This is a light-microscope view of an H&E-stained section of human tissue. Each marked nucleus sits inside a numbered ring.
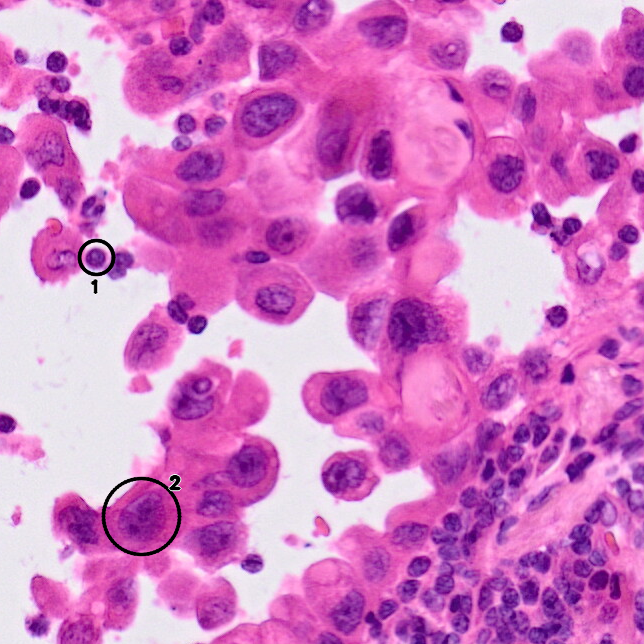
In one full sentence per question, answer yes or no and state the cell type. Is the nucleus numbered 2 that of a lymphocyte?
No, cell 2 is correctly identified as a carcinoma cell and not as a lymphocyte.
